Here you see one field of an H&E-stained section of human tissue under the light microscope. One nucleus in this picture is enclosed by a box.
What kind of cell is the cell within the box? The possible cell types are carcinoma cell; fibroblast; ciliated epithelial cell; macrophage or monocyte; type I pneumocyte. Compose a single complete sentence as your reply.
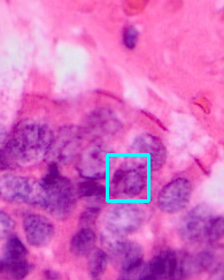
In this tissue section, the cell within the box is to be classed as a ciliated epithelial cell.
